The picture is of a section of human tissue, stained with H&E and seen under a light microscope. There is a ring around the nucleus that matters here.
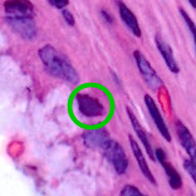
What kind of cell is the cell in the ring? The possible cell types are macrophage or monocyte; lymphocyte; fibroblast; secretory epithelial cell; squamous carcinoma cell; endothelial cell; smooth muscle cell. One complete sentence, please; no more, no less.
As for its identity, the cell in the ring is a secretory epithelial cell.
